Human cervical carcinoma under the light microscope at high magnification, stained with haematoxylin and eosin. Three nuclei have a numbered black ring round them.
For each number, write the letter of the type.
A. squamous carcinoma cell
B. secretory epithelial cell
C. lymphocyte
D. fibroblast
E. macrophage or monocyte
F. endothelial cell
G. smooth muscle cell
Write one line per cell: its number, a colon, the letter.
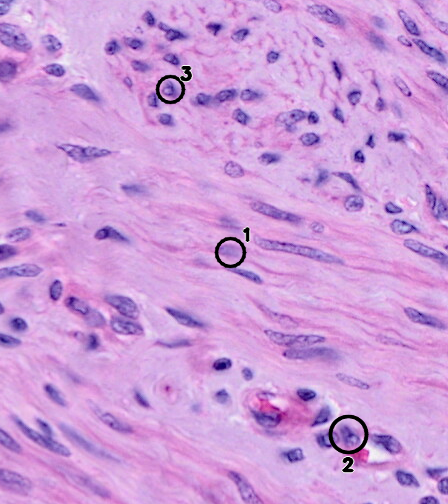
1: G
2: F
3: G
